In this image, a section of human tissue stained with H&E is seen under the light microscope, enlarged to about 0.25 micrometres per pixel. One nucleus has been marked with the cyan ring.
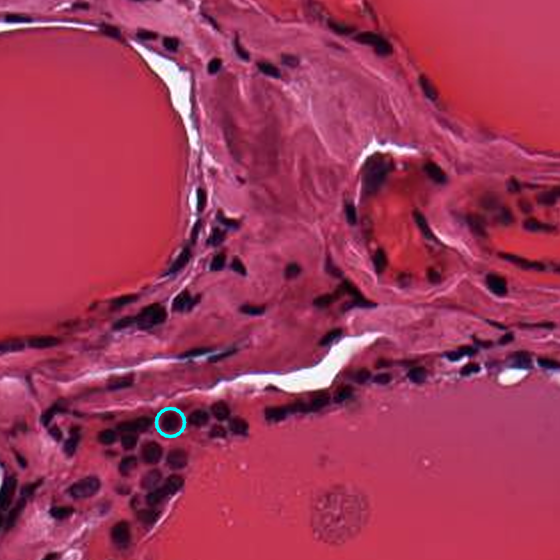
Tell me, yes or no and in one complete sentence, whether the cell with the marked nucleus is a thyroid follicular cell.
Yes, the nucleus shown with the mark belongs to a thyroid follicular cell.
